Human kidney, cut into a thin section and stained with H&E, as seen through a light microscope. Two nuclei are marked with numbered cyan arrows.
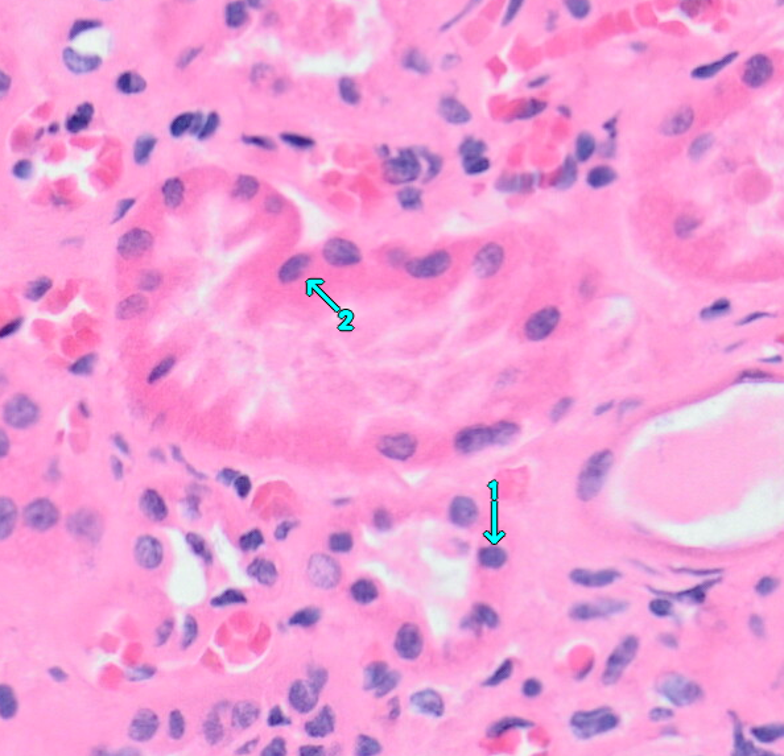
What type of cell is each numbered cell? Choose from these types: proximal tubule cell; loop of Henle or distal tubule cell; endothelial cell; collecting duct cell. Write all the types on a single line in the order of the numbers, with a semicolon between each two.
loop of Henle or distal tubule cell; proximal tubule cell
